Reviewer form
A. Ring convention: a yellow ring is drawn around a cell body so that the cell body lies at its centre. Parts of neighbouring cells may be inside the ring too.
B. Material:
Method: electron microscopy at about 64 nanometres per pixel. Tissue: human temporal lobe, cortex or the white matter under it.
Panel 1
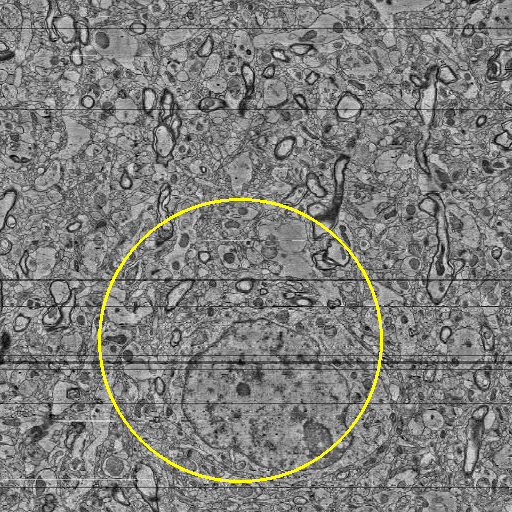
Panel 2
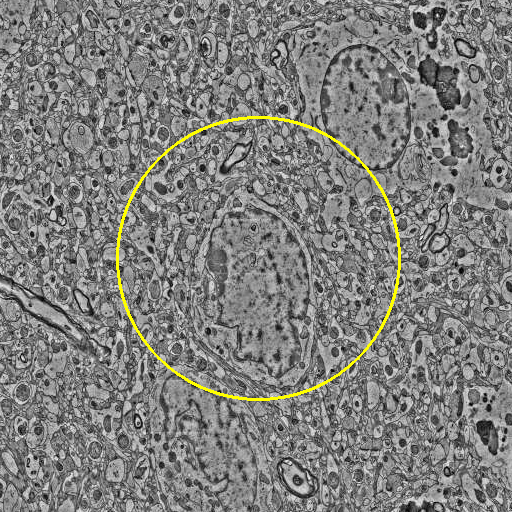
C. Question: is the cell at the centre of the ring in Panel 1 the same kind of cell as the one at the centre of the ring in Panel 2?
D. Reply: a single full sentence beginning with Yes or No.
Yes, the cells in Panel 1 and Panel 2 are the same kind of cell.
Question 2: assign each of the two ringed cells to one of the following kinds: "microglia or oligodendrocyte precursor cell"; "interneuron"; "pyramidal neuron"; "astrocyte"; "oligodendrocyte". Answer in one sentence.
Each cell, in the first picture and the second, is an interneuron.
